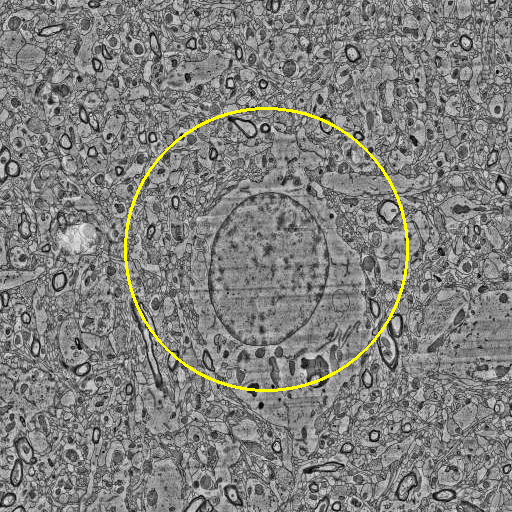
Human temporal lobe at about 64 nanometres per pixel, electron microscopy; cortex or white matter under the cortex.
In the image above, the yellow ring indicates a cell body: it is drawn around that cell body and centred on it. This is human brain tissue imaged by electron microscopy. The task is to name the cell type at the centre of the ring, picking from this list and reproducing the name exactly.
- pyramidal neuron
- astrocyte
astrocyte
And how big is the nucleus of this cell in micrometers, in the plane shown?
The nucleus appears roughly 10 by 8 micrometres in this plane.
